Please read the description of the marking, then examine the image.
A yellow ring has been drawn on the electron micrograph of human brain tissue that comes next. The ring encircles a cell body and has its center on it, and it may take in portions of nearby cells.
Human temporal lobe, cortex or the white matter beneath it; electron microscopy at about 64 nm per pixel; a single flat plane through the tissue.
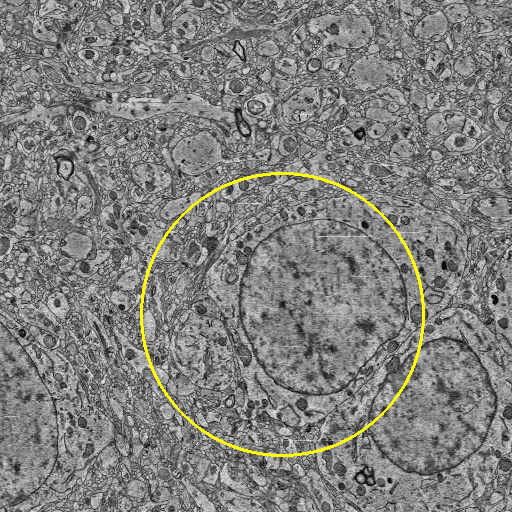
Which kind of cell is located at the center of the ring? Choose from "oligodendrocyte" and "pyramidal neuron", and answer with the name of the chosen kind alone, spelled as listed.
pyramidal neuron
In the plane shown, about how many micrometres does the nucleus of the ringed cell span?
The nucleus is about 11 micrometres across in this plane.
